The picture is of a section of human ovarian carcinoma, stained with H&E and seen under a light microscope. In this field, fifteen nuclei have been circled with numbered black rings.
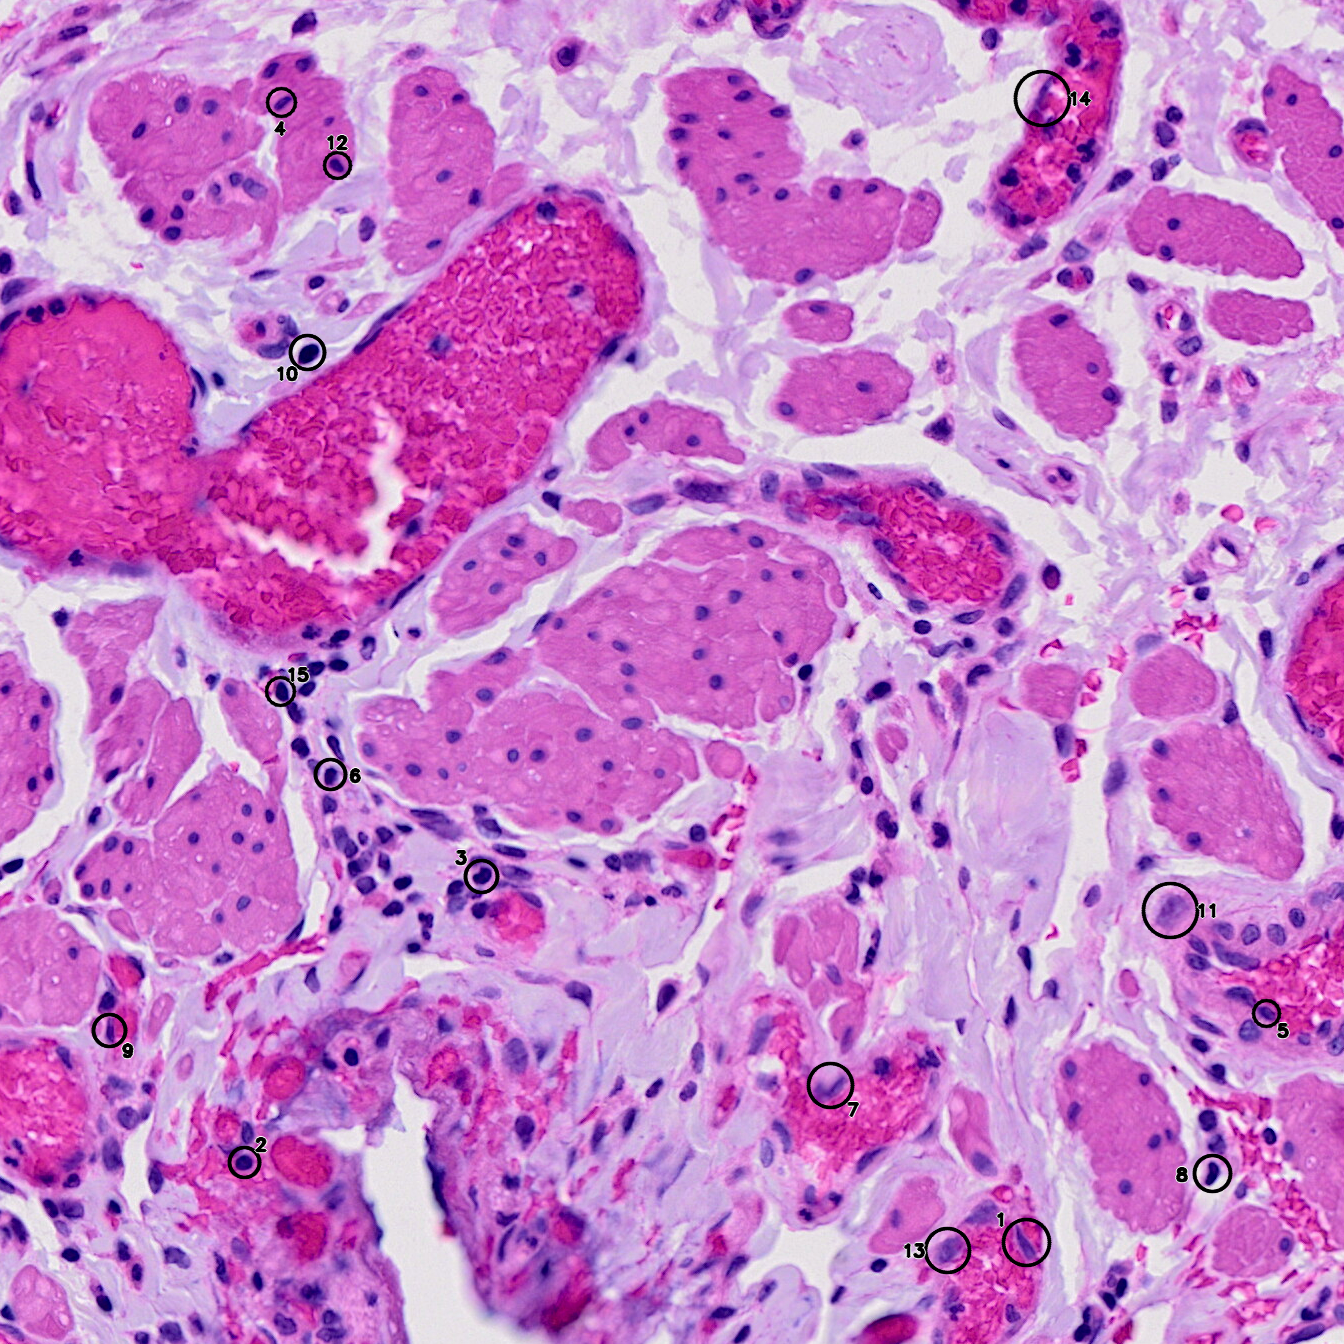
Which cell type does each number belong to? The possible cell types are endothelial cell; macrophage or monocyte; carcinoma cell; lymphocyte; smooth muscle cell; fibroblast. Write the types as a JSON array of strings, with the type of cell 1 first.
["endothelial cell", "lymphocyte", "lymphocyte", "smooth muscle cell", "endothelial cell", "lymphocyte", "endothelial cell", "lymphocyte", "endothelial cell", "lymphocyte", "fibroblast", "smooth muscle cell", "endothelial cell", "endothelial cell", "lymphocyte"]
